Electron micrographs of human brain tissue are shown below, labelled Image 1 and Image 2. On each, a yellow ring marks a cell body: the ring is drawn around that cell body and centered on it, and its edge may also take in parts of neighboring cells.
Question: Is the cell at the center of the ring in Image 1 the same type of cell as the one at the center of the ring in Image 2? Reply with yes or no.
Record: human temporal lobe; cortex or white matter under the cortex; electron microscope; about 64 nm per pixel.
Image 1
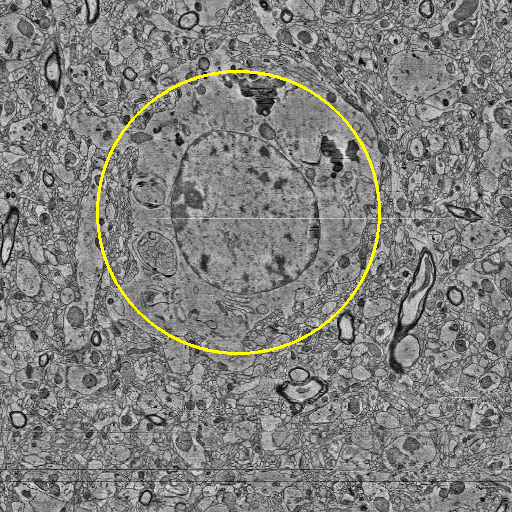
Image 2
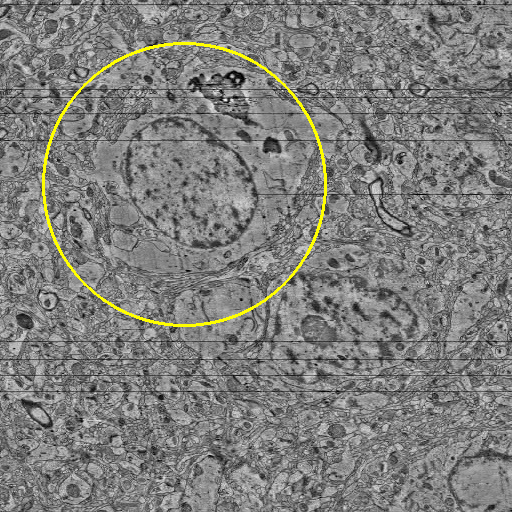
yes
